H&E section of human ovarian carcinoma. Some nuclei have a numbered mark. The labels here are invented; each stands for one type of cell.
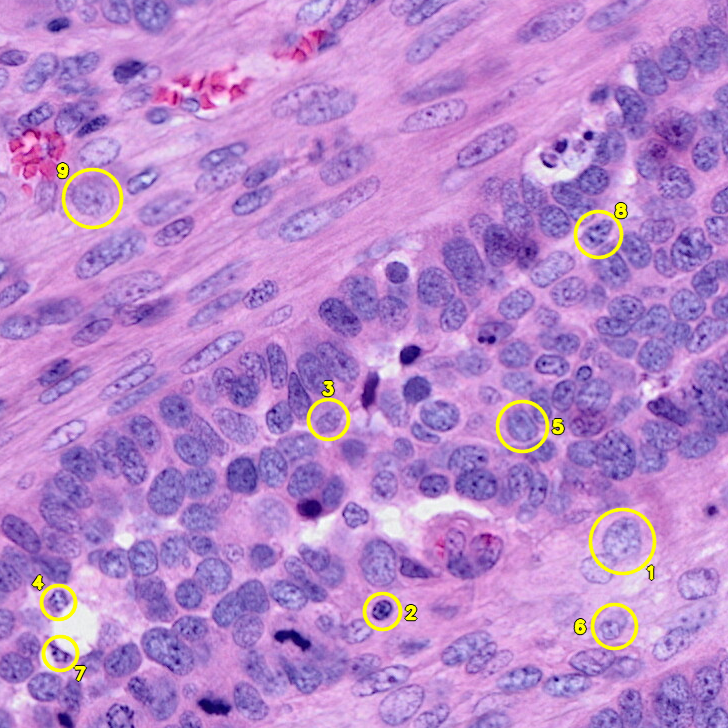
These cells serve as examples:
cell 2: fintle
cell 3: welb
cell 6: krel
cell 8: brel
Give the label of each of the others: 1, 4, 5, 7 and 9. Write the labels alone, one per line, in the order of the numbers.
krel
brel
welb
brel
krel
